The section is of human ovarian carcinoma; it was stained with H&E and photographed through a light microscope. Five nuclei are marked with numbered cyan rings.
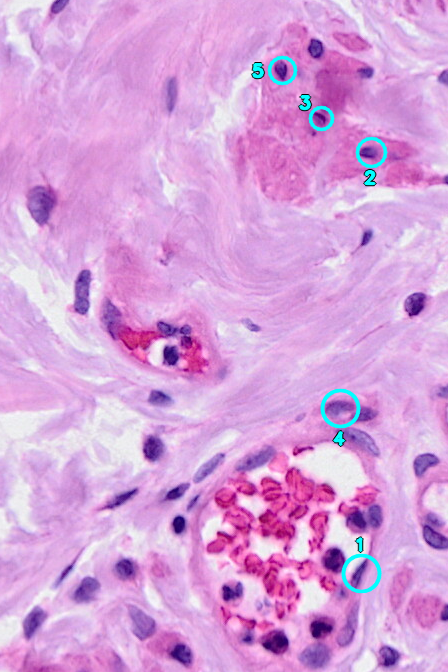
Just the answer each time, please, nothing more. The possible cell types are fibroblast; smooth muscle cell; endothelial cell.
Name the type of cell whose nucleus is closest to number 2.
smooth muscle cell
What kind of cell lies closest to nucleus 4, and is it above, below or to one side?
an endothelial cell; to the right of nucleus 4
